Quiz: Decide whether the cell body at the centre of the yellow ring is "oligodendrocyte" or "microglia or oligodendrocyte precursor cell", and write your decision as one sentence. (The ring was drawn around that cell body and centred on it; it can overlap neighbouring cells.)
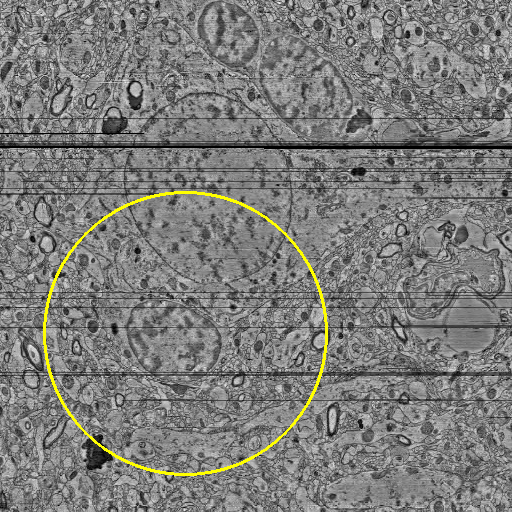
The cell the ring is centred on is an oligodendrocyte.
